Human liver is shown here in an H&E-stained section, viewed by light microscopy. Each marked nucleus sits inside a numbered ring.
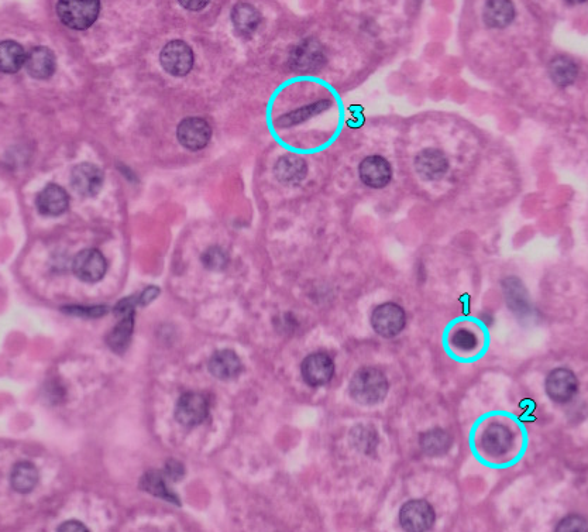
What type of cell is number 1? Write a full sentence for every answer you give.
The correct answer for cell 1 is a lymphocyte.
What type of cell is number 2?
The cell marked with the number 2 is a hepatocyte.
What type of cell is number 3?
The one labeled 3 is a Kupffer cell, to put it simply.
